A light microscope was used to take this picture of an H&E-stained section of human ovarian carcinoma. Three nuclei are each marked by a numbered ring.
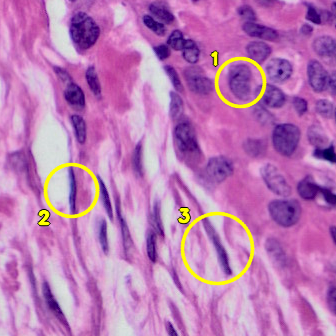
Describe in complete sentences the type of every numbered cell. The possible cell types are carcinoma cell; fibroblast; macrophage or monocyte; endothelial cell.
Cell 1 is a carcinoma cell. Cells 2 and 3 are fibroblasts.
